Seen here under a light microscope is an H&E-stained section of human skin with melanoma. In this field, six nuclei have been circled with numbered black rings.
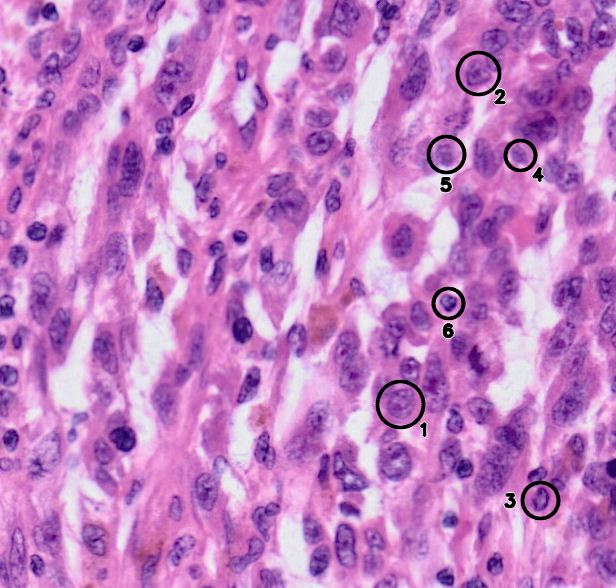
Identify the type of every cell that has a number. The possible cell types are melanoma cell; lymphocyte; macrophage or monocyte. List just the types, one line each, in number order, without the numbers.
melanoma cell
melanoma cell
macrophage or monocyte
melanoma cell
melanoma cell
lymphocyte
